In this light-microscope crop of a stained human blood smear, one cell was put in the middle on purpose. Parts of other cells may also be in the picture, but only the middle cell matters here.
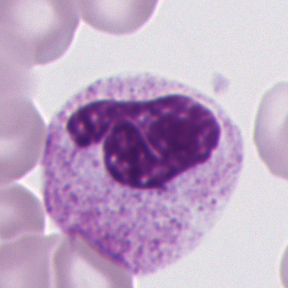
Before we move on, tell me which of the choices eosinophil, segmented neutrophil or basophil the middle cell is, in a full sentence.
The cell featured at the centre of this crop is a segmented neutrophil.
